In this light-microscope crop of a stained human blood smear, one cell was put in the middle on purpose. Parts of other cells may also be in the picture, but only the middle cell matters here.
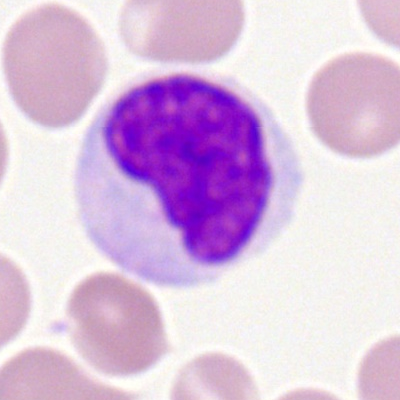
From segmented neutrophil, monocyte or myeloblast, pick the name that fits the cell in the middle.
monocyte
